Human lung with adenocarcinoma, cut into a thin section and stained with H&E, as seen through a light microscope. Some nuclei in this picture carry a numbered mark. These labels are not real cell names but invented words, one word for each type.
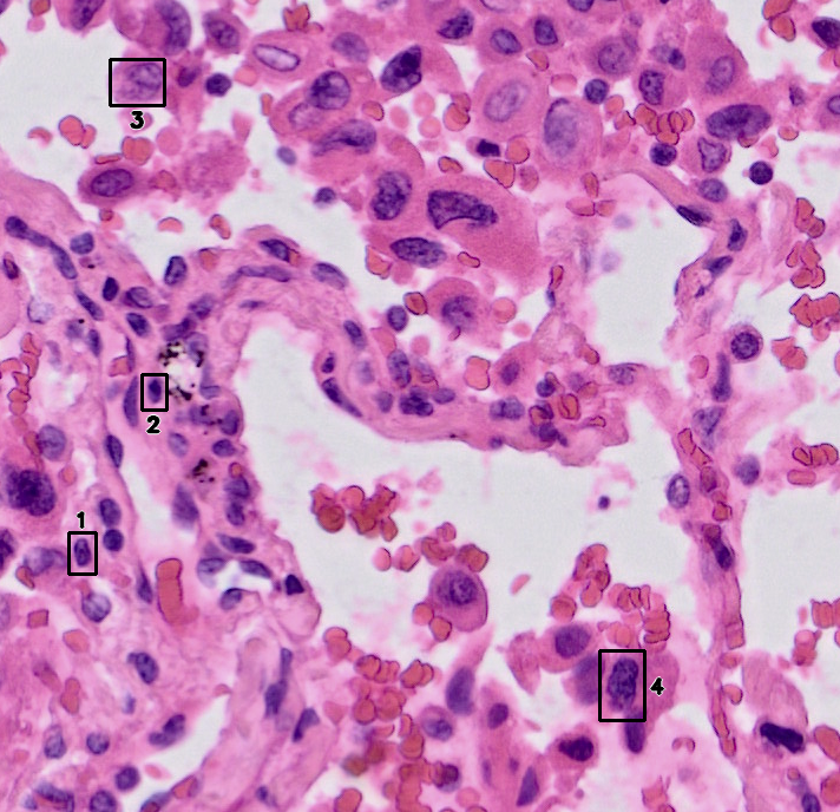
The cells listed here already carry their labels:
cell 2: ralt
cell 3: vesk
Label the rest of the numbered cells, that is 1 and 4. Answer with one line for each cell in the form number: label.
1: ralt
4: vesk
